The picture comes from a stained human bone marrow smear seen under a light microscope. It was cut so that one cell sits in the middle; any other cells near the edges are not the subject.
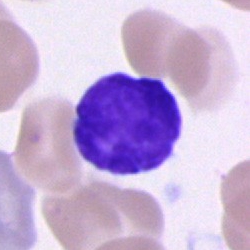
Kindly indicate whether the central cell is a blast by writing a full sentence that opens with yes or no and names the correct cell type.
No, this one is a lymphocyte; it is not a blast.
